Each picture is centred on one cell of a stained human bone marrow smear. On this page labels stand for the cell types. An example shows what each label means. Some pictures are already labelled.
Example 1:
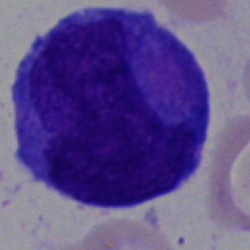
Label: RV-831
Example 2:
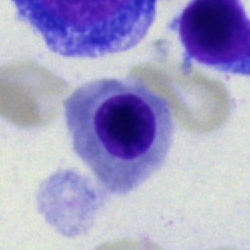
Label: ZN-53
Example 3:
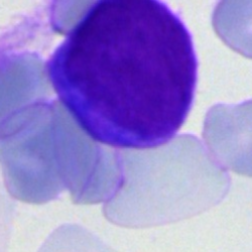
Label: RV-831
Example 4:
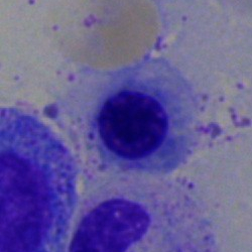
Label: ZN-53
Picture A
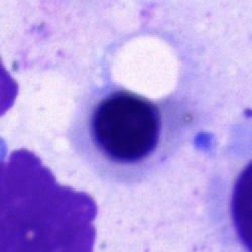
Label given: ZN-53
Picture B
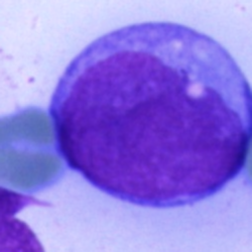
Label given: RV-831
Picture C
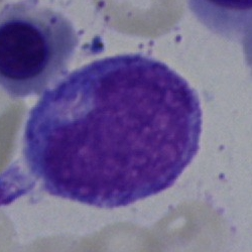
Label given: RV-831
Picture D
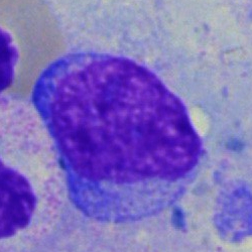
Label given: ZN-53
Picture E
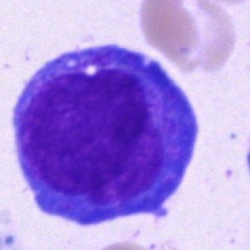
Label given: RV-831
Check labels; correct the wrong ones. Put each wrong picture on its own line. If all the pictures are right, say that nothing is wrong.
D: RV-831, not ZN-53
